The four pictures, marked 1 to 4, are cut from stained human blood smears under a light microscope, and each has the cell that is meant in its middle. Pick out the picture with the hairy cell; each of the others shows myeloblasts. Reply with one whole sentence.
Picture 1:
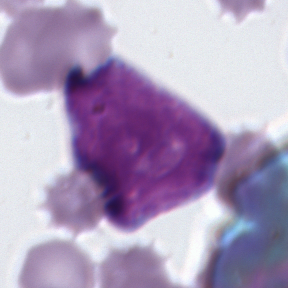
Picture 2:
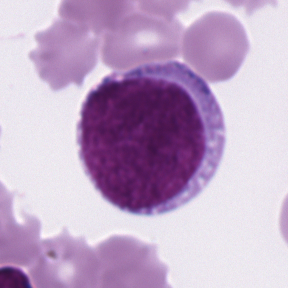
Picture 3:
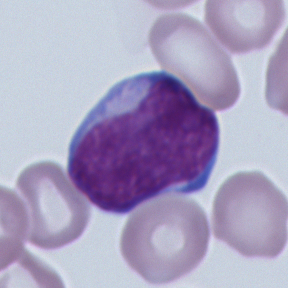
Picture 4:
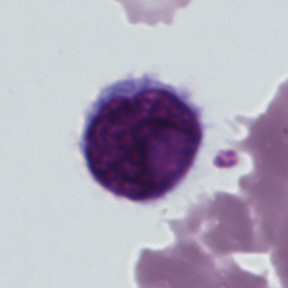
The picture with the hairy cell is 4.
